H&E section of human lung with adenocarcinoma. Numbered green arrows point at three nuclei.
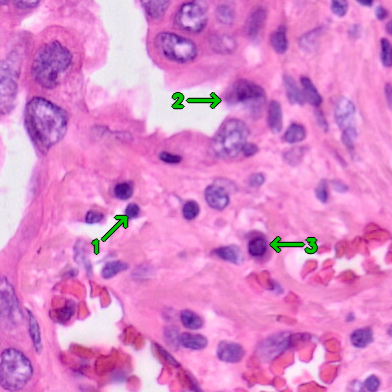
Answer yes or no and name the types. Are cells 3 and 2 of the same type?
No, cell 3 is a plasma cell and cell 2 is a carcinoma cell.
